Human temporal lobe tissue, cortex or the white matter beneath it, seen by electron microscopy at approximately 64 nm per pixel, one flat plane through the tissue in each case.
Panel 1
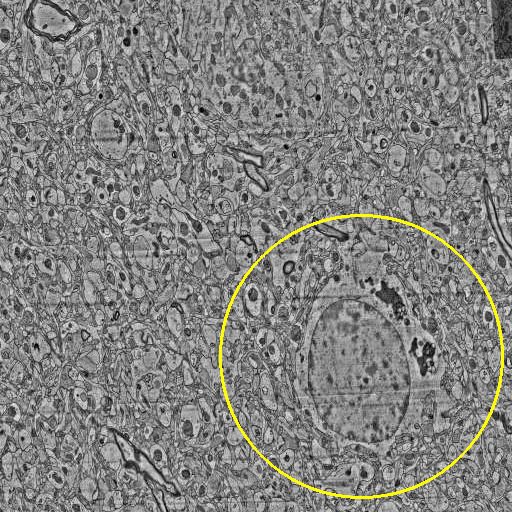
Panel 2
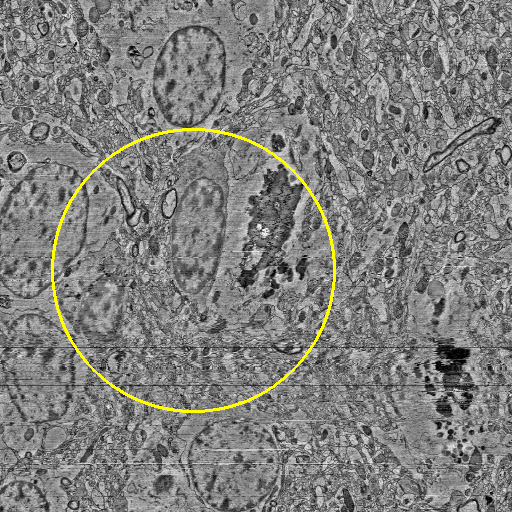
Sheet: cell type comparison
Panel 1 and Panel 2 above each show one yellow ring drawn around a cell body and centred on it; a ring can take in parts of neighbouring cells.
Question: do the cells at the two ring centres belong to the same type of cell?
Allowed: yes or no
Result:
no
